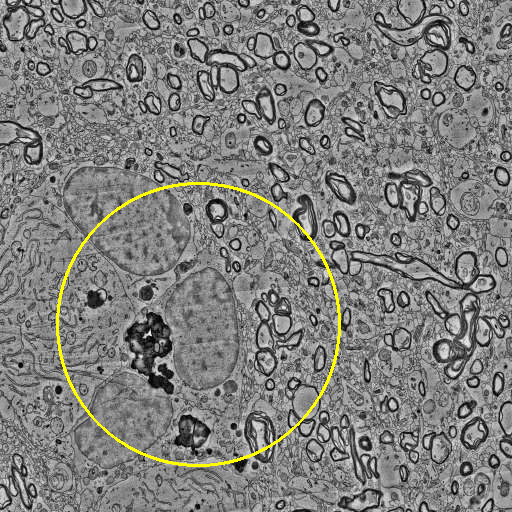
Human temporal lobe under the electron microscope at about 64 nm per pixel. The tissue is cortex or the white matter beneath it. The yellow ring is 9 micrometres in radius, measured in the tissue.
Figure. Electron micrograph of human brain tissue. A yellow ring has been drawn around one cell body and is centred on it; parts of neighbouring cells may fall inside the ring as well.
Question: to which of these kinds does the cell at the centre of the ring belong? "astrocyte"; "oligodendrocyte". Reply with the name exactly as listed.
oligodendrocyte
